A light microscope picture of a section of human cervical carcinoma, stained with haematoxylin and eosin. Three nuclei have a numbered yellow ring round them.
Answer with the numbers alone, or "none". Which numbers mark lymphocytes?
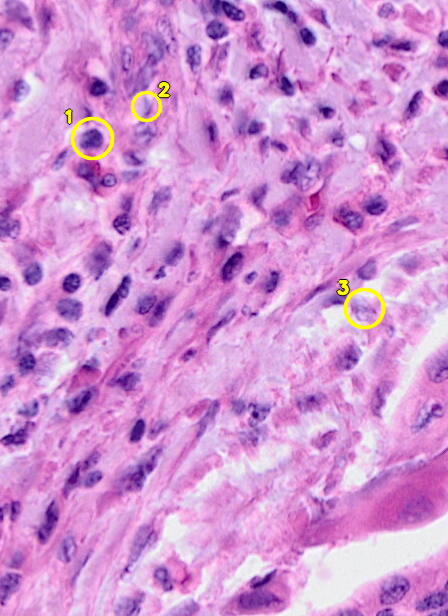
1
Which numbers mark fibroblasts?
3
